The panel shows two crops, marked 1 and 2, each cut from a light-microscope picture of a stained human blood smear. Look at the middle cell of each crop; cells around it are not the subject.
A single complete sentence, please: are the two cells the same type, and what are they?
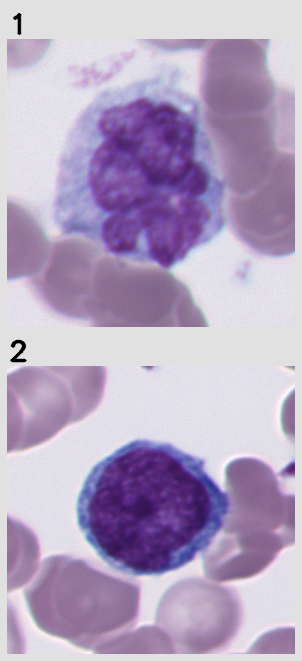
Yes, it is monocytes that occupy the middle of both crops.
